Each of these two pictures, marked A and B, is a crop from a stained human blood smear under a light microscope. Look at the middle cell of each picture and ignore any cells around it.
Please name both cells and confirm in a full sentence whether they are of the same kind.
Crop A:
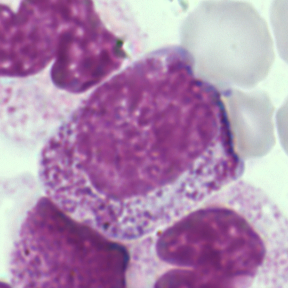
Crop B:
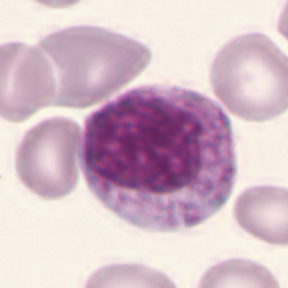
Yes, both crops show myelocytes, each crop centred on one of them.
